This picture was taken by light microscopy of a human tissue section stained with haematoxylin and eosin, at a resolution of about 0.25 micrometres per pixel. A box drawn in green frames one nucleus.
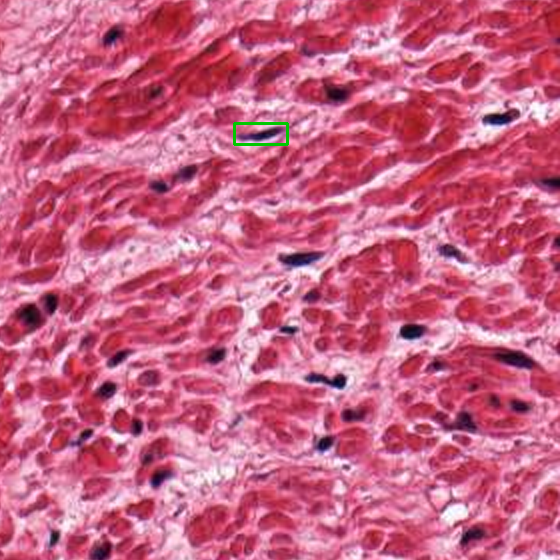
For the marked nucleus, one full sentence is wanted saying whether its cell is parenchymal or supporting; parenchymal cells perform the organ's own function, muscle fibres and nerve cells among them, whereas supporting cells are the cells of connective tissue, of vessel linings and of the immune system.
The marked nucleus is located within a supporting cell.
